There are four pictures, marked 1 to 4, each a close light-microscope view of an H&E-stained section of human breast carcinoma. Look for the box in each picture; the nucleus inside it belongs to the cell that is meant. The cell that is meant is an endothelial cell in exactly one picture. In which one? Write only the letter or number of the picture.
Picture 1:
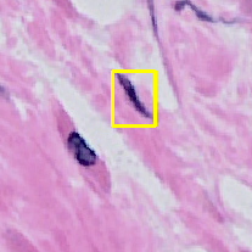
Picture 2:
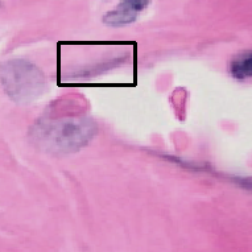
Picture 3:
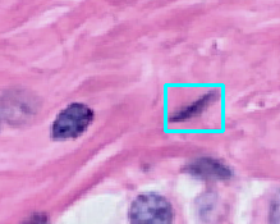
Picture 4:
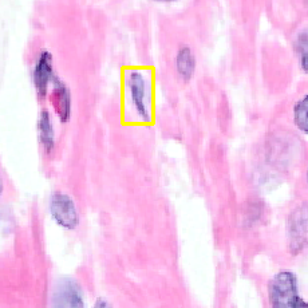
2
